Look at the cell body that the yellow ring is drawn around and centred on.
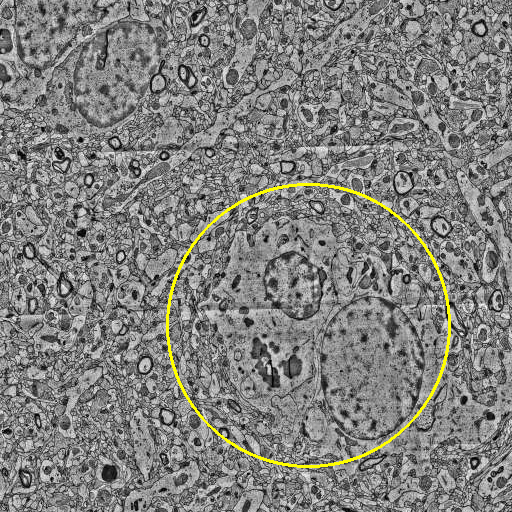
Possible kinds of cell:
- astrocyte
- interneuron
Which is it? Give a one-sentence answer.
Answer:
The centred cell body is that of an astrocyte.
